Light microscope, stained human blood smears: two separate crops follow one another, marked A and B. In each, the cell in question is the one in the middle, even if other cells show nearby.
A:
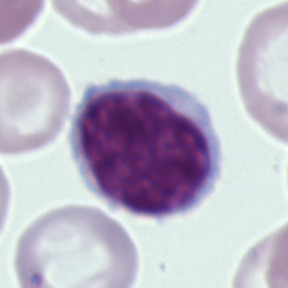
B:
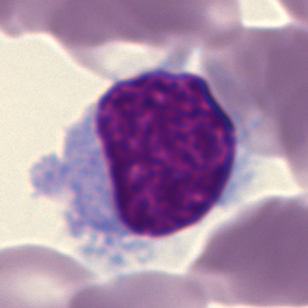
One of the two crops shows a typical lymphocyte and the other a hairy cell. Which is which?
A: typical lymphocyte
B: hairy cell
